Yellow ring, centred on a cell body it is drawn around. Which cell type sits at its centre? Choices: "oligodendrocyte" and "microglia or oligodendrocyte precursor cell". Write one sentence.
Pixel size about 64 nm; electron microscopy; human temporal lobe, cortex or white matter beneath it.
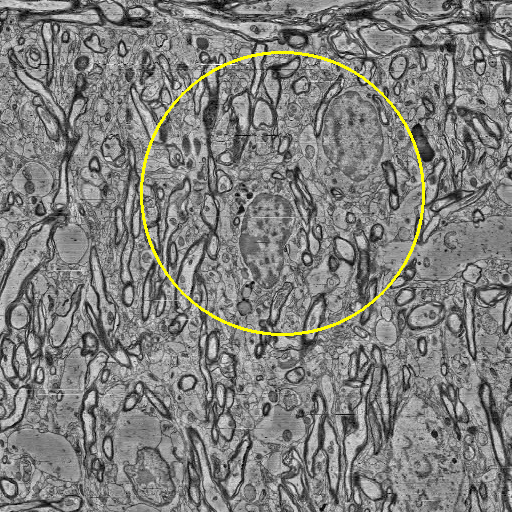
At the centre of the ring sits a microglial cell or oligodendrocyte precursor cell.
